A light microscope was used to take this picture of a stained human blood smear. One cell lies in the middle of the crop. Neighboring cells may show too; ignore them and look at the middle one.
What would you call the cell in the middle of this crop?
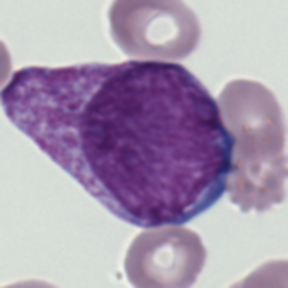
atypical promyelocyte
